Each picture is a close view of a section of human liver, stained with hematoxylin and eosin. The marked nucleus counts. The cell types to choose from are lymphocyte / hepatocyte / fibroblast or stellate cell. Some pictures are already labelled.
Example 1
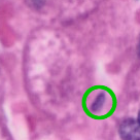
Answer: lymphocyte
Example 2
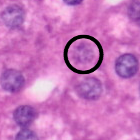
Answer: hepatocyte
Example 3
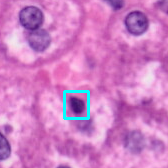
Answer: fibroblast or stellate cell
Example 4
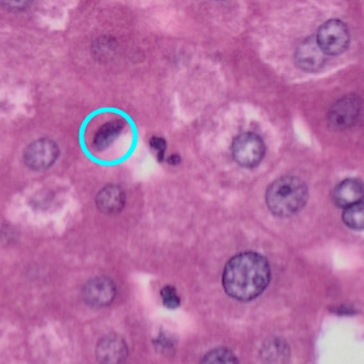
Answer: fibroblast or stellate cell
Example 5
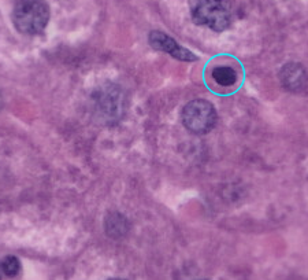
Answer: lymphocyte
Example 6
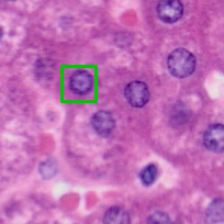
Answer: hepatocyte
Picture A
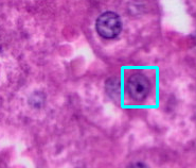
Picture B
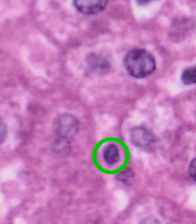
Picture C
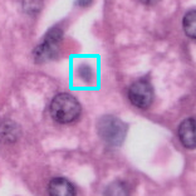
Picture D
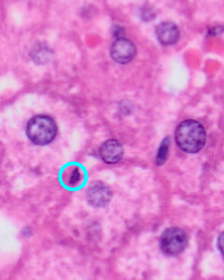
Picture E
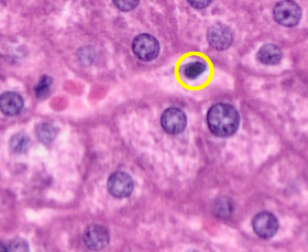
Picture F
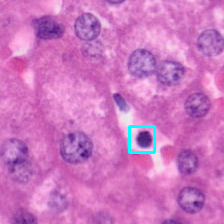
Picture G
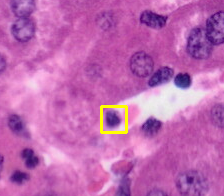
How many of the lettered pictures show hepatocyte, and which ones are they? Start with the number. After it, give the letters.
Count: 1 (A)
